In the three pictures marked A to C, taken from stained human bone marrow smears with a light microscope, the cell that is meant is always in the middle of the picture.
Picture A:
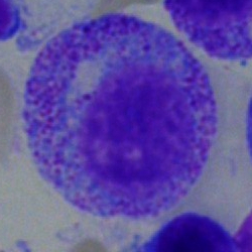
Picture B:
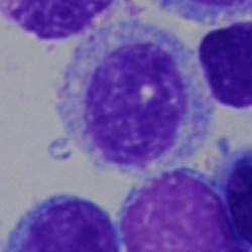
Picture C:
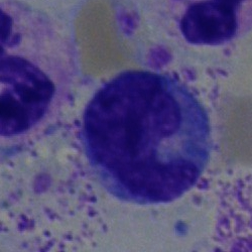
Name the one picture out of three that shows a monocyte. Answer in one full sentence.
The monocyte is the one in picture C.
